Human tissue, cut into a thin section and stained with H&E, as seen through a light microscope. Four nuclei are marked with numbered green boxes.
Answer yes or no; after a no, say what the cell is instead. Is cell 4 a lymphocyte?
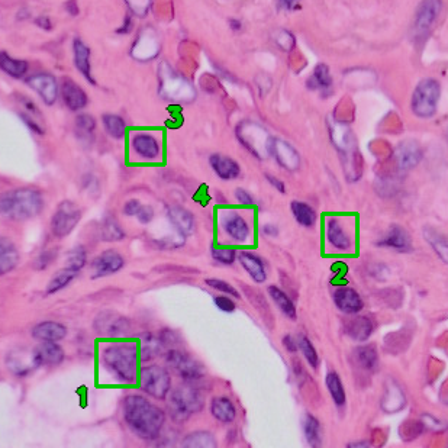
Yes.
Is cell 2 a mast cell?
Yes.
